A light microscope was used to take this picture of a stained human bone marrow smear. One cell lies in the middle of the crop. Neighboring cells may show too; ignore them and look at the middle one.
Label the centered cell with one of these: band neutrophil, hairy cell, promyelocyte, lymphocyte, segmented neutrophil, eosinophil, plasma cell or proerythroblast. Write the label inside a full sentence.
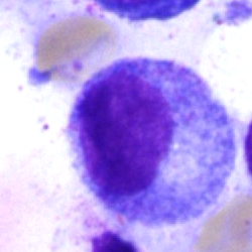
The cell featured at the centre of this crop is a promyelocyte.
